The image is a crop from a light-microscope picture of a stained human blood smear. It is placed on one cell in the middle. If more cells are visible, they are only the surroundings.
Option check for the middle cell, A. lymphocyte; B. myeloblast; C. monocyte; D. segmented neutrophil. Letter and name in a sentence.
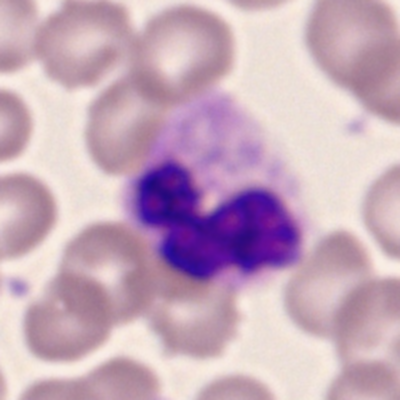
The correct option is D, as the central cell is a segmented neutrophil.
